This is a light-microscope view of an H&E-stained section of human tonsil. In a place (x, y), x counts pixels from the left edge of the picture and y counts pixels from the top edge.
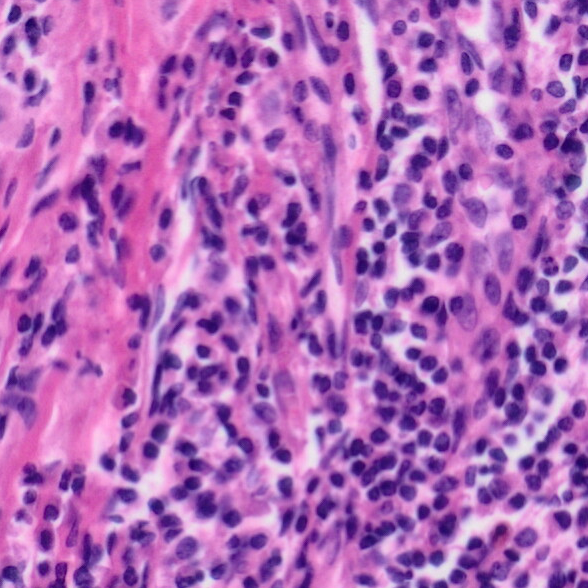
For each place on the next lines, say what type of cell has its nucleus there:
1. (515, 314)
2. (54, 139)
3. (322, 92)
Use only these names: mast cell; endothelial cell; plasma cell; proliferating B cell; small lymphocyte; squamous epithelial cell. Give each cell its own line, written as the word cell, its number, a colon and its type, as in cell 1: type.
cell 1: endothelial cell
cell 2: mast cell
cell 3: endothelial cell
